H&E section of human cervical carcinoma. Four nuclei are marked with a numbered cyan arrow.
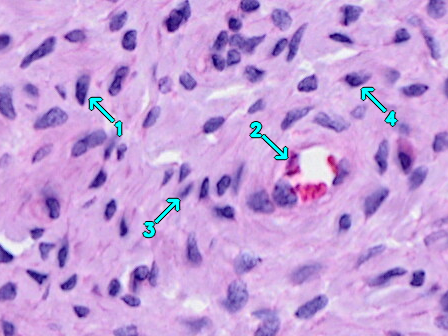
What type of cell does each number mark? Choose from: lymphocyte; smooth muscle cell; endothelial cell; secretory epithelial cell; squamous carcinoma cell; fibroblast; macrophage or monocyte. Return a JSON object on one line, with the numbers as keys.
{"1": "fibroblast", "2": "endothelial cell", "3": "fibroblast", "4": "fibroblast"}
